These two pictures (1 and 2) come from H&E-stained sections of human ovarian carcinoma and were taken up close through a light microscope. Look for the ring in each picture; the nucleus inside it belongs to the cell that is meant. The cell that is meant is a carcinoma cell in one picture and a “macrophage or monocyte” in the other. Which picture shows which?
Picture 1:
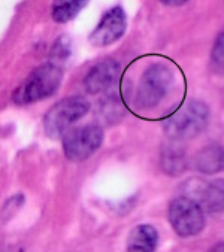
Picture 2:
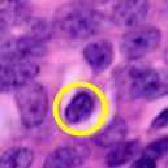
1: carcinoma cell
2: macrophage or monocyte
